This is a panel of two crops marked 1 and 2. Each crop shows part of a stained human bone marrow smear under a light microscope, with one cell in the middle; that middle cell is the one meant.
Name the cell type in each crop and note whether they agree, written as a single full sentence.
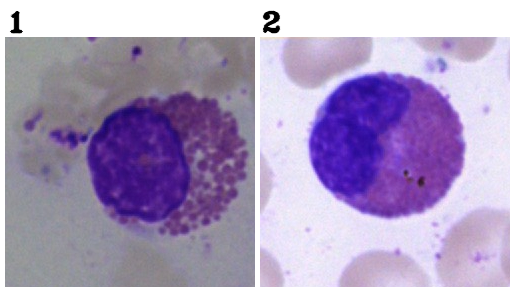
Yes, the two crops are alike in showing eosinophils.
